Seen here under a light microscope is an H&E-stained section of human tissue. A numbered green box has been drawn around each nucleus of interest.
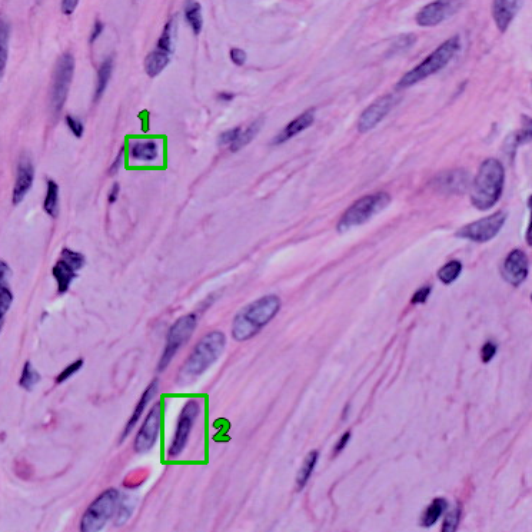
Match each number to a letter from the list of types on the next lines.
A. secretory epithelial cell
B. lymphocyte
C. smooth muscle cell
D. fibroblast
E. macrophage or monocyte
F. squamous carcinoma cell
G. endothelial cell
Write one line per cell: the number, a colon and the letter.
1: D
2: G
